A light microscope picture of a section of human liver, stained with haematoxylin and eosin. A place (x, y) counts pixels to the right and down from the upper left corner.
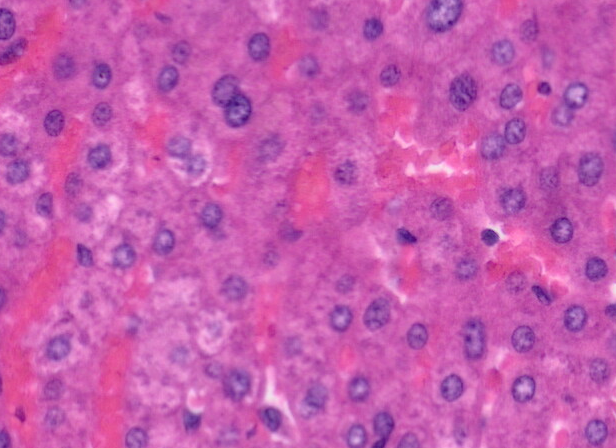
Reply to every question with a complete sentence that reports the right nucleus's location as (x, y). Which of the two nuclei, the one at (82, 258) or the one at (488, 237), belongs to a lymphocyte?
The nucleus at position (488, 237) belongs to a lymphocyte.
